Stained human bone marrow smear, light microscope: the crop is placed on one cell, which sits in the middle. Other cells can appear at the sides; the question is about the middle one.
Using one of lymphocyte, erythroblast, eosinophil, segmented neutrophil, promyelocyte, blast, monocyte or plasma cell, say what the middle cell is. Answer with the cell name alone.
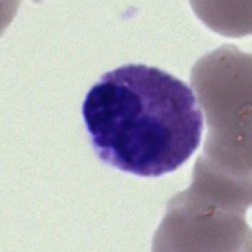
eosinophil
